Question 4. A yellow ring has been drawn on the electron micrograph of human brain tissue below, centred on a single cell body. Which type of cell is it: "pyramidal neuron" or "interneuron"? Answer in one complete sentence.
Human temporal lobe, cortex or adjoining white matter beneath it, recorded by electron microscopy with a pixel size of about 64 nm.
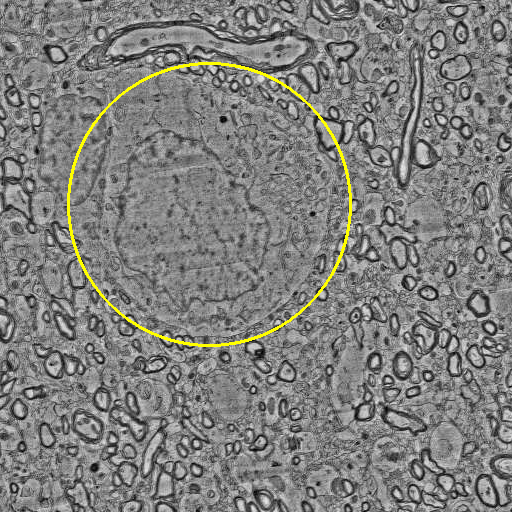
This cell body belongs to an interneuron.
